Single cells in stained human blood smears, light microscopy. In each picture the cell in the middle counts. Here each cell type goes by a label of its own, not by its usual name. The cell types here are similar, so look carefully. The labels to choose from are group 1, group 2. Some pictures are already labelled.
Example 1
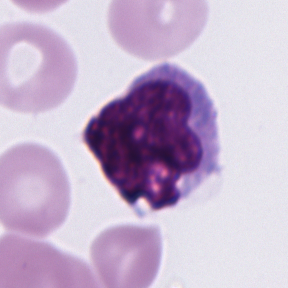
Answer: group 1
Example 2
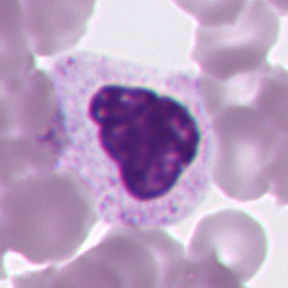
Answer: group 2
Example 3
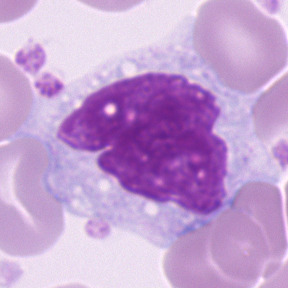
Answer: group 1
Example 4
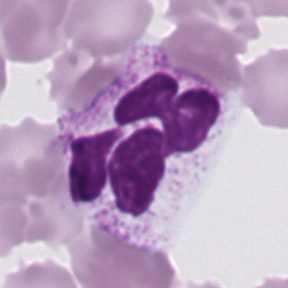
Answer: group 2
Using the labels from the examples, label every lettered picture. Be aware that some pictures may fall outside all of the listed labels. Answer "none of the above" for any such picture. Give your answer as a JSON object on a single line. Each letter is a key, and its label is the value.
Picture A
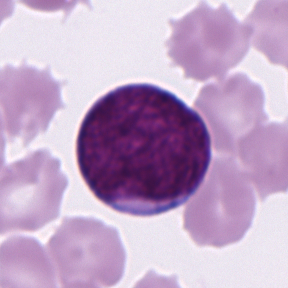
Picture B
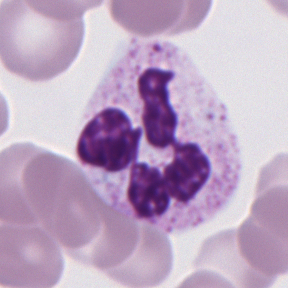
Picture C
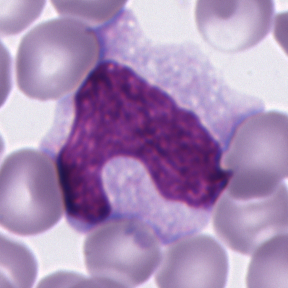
{"A": "none of the above", "B": "group 2", "C": "group 1"}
